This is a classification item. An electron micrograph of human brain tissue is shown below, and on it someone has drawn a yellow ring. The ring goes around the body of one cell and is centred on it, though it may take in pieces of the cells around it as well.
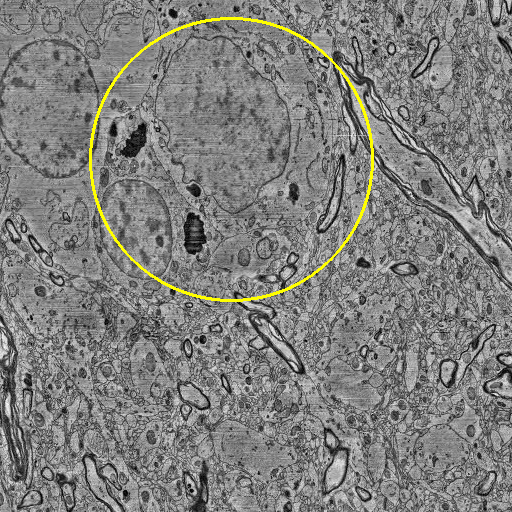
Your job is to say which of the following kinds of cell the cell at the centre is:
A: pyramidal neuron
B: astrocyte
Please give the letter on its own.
A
